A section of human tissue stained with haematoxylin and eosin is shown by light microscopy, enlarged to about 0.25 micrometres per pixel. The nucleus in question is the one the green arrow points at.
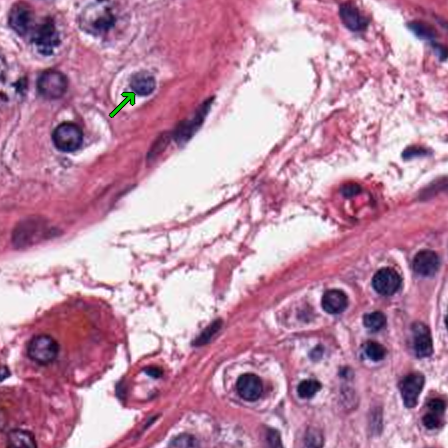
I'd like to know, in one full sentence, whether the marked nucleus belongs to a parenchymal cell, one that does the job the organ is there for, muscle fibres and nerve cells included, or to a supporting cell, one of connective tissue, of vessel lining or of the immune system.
The marked nucleus is owned by a parenchymal cell, in this case a spermatogonium.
